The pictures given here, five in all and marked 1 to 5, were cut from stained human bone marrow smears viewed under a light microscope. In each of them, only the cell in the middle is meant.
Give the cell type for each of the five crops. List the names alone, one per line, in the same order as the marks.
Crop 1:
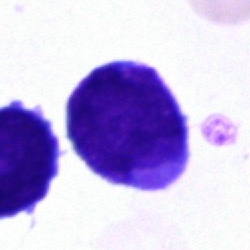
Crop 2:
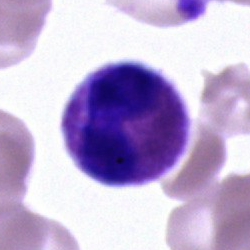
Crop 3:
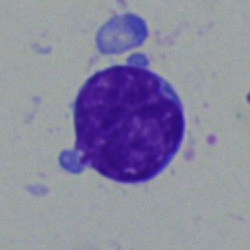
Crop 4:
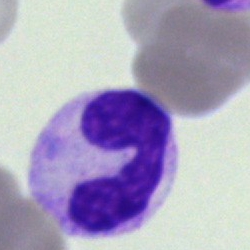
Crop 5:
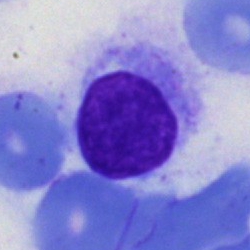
blast
eosinophil
lymphocyte
band neutrophil
hairy cell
